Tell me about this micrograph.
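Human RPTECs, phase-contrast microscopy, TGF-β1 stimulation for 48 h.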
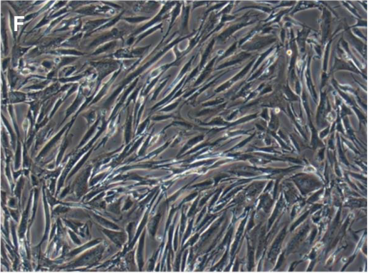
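The cells taper at both ends and lie side by side in parallel bundles and swirling streams that cross one another at angles. Bright halos mark the cell edges, and a few small gaps open between the bundles. The sheet no longer looks like a compact cobblestone layer but like a fibroblast-like culture of elongated cells.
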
